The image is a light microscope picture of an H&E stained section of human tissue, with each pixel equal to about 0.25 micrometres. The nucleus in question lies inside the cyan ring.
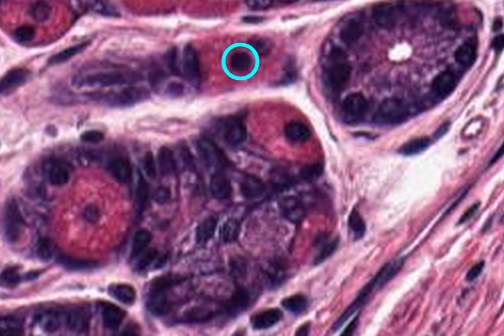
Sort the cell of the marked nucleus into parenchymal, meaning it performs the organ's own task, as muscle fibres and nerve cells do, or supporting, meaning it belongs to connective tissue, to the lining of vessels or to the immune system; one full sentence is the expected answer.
The marked nucleus is part of the parenchyma, belonging to a parietal cell.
